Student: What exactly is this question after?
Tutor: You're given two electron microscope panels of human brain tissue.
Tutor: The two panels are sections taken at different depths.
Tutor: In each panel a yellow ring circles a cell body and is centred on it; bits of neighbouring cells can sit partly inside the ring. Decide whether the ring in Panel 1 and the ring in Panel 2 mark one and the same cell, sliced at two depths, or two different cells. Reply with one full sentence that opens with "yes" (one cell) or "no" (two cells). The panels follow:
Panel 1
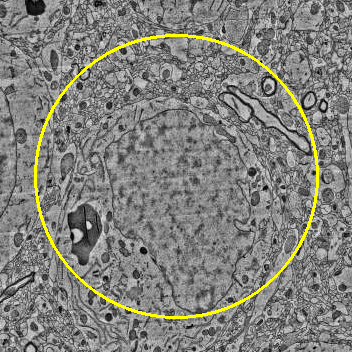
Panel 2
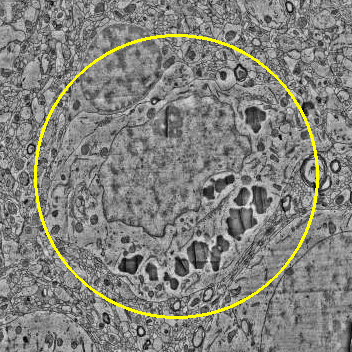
No, the rings do not mark the same cell.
